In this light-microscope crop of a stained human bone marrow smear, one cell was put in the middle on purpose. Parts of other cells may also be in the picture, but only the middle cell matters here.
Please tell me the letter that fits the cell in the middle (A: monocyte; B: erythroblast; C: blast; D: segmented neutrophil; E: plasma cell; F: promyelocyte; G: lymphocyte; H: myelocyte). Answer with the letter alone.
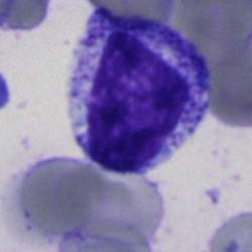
H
